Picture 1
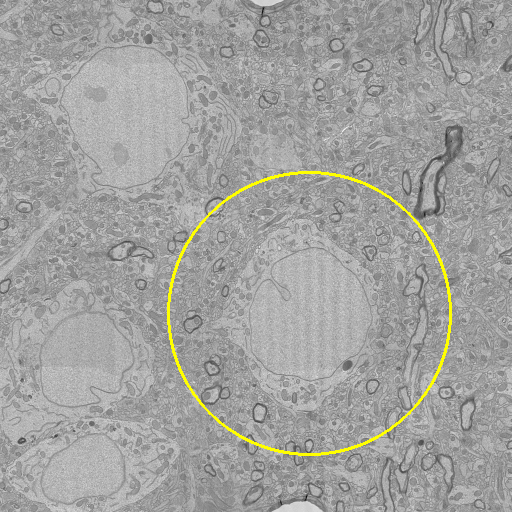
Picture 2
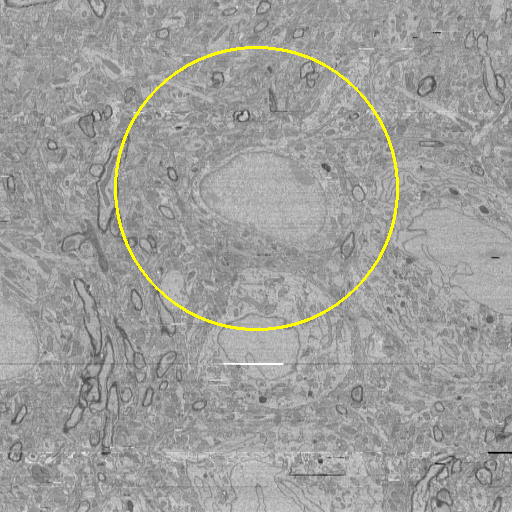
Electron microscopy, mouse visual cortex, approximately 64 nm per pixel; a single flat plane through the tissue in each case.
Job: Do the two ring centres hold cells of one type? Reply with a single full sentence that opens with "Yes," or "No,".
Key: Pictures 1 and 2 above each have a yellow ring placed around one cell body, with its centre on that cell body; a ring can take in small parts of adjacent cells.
No, the cells at the two ring centres are of two separate types.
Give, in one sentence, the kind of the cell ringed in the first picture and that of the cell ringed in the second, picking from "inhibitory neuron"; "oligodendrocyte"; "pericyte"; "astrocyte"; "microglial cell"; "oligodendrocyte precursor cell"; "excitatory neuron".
For the first picture it is an excitatory neuron; for the second, an astrocyte.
